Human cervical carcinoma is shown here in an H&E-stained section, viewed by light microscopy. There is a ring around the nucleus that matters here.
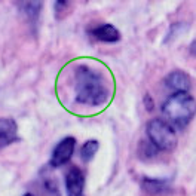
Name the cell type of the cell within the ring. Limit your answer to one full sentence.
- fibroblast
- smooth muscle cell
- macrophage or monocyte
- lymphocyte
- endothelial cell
It is as a macrophage or monocyte that the cell within the ring is recorded.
